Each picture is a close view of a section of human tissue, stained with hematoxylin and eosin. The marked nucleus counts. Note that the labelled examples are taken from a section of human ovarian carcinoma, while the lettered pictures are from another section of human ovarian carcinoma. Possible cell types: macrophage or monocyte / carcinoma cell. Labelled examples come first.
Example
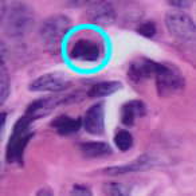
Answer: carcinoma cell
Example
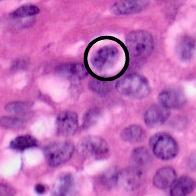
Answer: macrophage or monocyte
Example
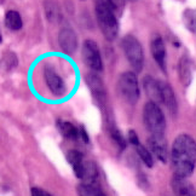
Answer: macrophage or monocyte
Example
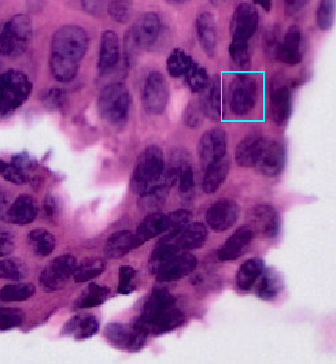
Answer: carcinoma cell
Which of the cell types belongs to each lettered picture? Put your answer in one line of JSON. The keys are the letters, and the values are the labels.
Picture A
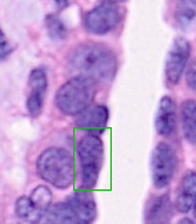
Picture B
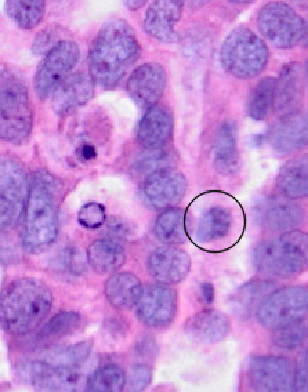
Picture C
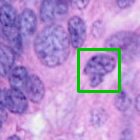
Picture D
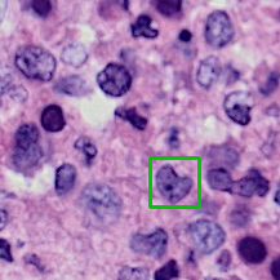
{"A": "carcinoma cell", "B": "macrophage or monocyte", "C": "macrophage or monocyte", "D": "macrophage or monocyte"}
